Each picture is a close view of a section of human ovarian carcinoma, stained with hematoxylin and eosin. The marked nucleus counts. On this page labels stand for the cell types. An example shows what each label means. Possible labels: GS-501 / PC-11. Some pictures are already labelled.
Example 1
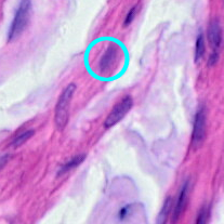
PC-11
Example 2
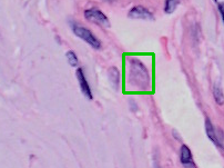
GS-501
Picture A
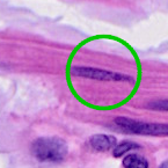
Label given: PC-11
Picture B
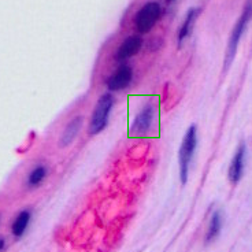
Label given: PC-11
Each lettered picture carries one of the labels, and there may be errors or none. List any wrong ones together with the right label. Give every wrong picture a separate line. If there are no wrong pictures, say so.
B: not PC-11 but GS-501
